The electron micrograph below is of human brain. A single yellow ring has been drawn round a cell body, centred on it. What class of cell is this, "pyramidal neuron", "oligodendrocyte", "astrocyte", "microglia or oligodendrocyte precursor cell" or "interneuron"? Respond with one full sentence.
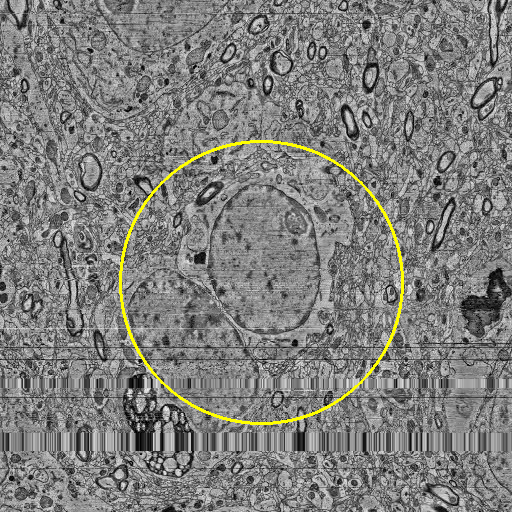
In the micrograph, the cell centred inside the yellow ring is an astrocyte.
